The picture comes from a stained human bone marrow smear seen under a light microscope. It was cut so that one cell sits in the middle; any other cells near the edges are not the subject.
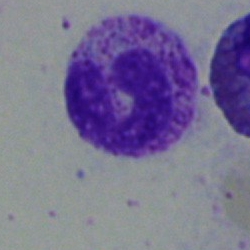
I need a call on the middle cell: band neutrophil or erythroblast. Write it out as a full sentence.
The cell found in the middle of this crop is a band neutrophil.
